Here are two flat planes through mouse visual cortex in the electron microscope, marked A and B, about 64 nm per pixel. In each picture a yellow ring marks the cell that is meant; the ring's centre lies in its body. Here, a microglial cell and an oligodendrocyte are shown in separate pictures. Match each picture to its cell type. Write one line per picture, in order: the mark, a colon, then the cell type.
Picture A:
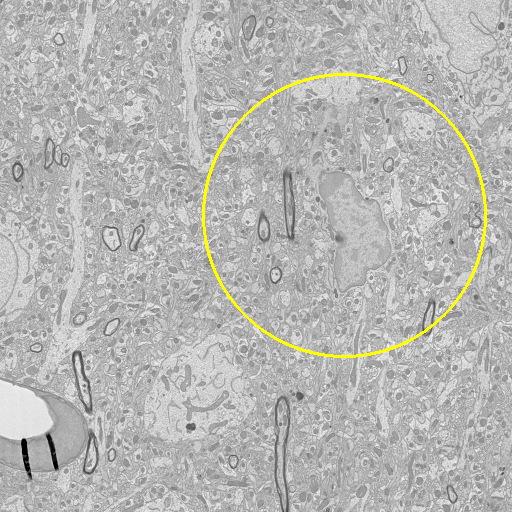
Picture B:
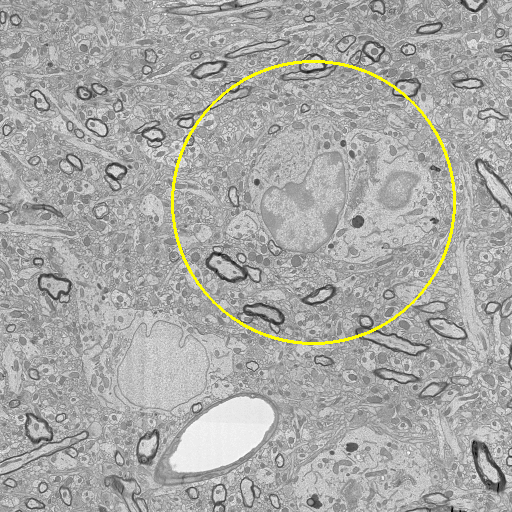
A: microglial cell
B: oligodendrocyte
